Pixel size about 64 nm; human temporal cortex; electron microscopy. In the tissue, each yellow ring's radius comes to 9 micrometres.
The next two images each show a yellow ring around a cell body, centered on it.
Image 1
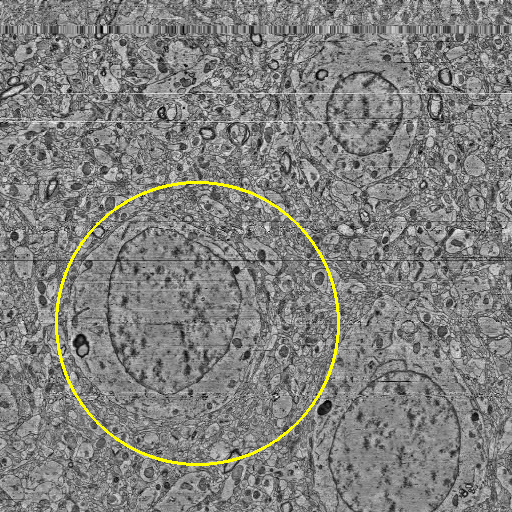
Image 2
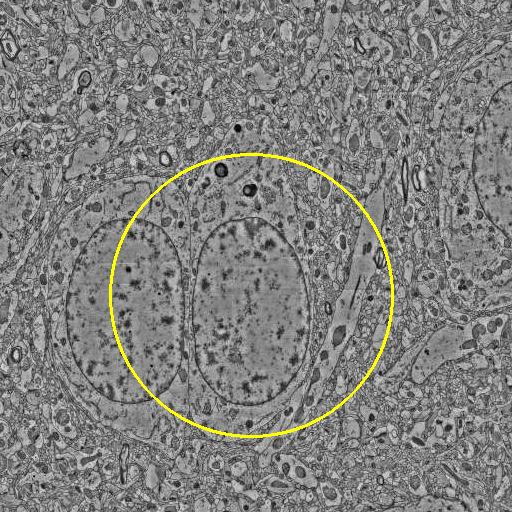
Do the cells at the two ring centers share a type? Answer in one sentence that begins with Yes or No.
Yes, across the two images the cells at the ring centers share one type.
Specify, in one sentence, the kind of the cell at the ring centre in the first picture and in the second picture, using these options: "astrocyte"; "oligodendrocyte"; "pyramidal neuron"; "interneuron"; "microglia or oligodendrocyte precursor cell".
Each of the two rings surrounds a pyramidal neuron.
